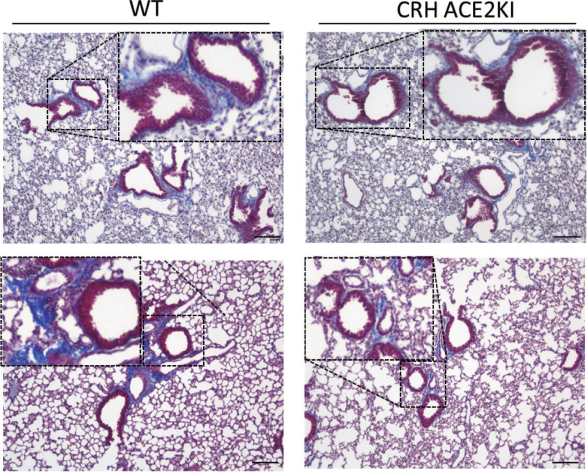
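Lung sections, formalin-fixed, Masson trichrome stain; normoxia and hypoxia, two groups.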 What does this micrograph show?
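Larger tubular structures with thick, deep red walls sit within the parenchyma, and the enlarged insets show their folded red walls around open lumens. Around these structures lies loose connective tissue stained blue, which is most abundant around the structure in the lower left inset. The alveolar septa themselves stay thin and no dense blue scarred areas replace the alveoli.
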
